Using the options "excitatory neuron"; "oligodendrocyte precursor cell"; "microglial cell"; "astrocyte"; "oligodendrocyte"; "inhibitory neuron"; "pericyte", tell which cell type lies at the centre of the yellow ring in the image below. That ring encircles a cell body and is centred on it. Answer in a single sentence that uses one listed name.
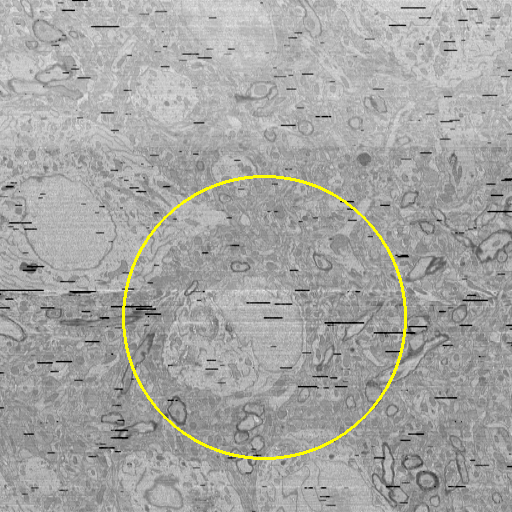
At the centre of the yellow ring lies the body of an oligodendrocyte precursor cell.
